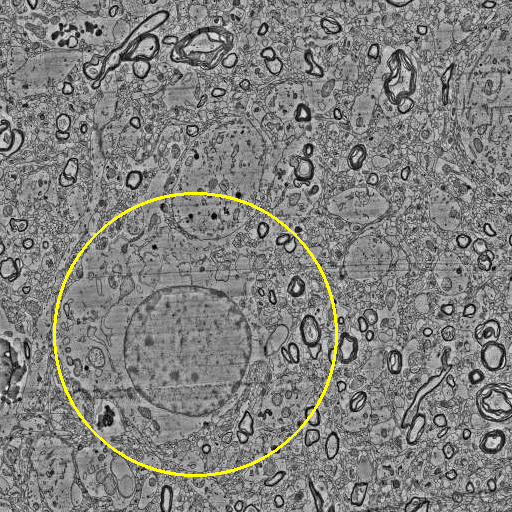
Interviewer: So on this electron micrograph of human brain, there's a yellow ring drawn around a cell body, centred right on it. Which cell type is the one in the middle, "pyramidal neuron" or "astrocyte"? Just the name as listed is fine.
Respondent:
astrocyte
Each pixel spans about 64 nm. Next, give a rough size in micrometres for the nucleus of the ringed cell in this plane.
Roughly 8 micrometres across, measured in this plane.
